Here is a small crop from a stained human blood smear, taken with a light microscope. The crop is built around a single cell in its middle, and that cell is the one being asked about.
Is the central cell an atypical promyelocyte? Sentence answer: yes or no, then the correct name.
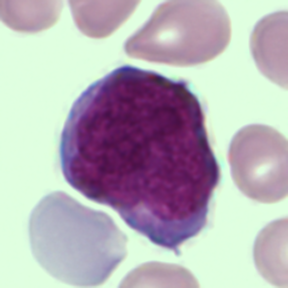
Yes, the cell lying in the centre of the crop is identified as an atypical promyelocyte.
